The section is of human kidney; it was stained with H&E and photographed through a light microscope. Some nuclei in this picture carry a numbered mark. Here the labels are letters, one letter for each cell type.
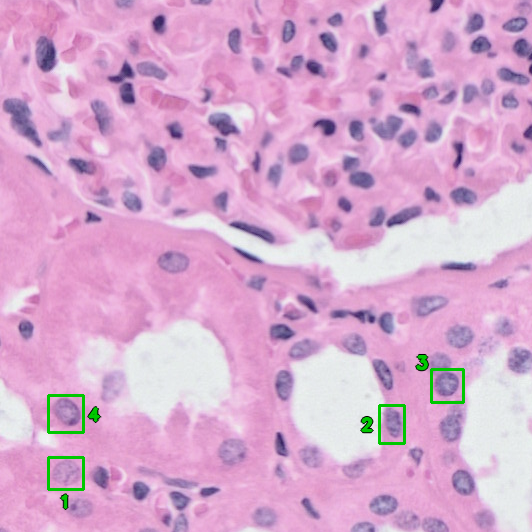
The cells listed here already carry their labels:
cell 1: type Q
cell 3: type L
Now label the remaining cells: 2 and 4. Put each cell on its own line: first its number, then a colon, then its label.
2: type L
4: type Q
